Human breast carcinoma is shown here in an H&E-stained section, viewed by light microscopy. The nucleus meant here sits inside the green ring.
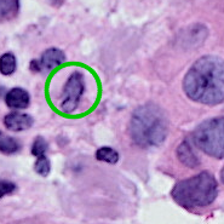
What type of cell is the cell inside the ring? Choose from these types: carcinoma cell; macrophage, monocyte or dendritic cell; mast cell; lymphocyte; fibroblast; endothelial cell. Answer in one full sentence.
With respect to cell type, the cell inside the ring is a macrophage, monocyte or dendritic cell.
